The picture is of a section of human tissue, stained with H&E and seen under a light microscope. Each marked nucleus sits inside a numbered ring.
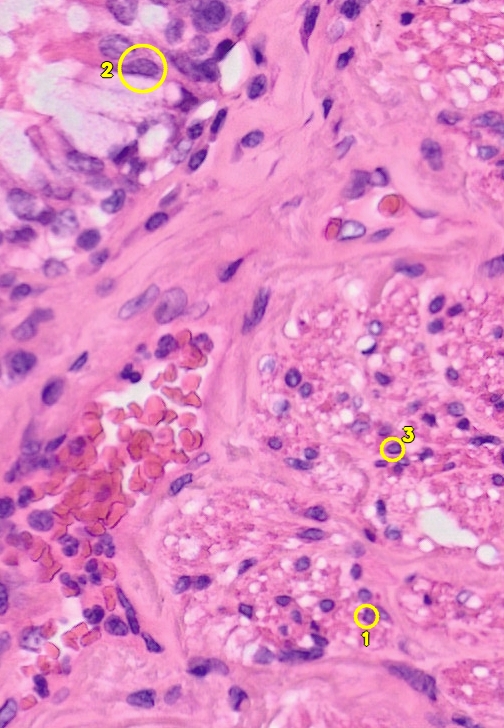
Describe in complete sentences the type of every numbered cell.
Cells 1 and 3 are smooth muscle cells or pericytes. Cell 2 is a ciliated epithelial cell.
